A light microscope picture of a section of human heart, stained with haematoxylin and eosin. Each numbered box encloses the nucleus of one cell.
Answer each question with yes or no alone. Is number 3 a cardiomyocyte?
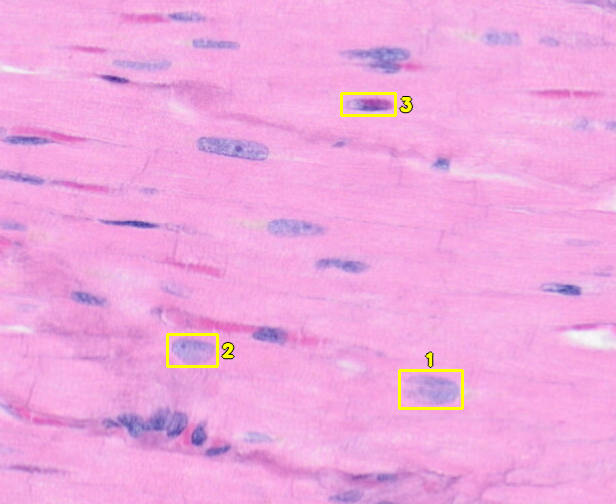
no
